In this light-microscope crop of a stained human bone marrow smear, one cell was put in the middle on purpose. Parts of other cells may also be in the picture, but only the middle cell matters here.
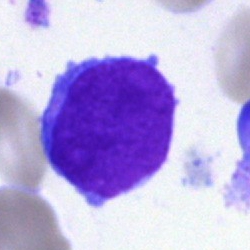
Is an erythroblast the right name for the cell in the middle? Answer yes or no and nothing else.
no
